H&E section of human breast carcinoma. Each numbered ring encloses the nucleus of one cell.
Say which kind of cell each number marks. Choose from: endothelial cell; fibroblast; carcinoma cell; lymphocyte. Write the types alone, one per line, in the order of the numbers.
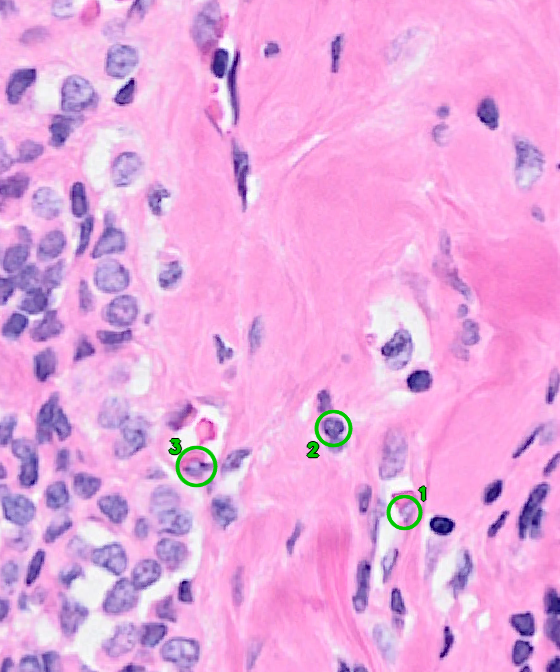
endothelial cell
lymphocyte
endothelial cell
